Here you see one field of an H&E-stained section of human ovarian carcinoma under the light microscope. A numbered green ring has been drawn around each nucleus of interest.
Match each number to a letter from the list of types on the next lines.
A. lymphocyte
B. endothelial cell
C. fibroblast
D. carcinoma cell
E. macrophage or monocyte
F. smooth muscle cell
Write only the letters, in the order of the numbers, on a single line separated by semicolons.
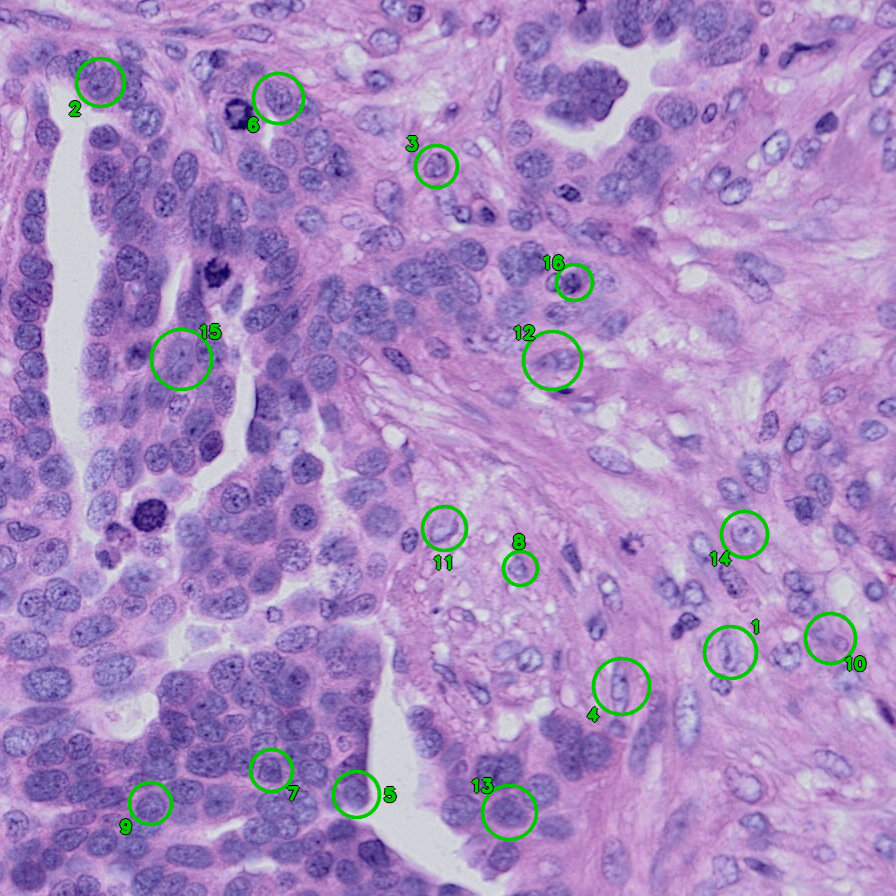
C; D; E; C; D; D; D; C; D; C; C; C; D; C; D; A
